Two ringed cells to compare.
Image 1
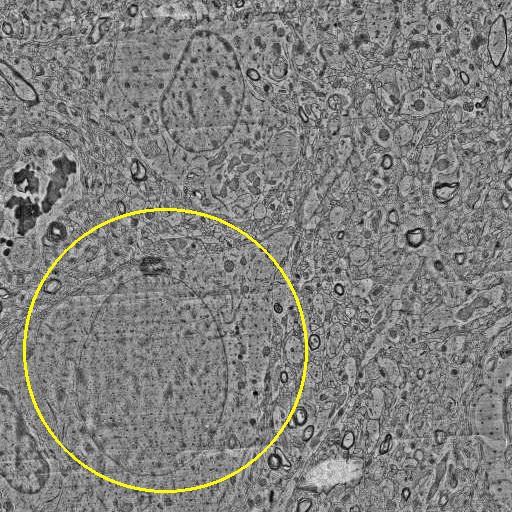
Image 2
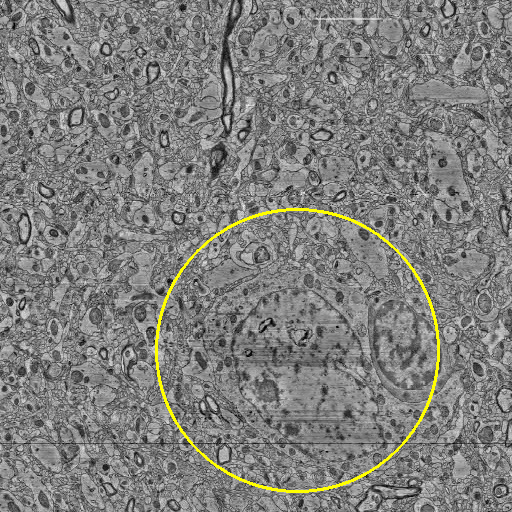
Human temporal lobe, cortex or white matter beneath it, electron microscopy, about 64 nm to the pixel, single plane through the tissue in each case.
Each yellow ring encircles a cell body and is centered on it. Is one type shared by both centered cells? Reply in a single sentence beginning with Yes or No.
No, two types are found among the cells at the centers of the rings.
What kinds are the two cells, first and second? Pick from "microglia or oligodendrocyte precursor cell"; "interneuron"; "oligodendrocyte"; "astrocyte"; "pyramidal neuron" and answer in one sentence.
The second picture holds an interneuron in its ring, and the first holds a pyramidal neuron.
